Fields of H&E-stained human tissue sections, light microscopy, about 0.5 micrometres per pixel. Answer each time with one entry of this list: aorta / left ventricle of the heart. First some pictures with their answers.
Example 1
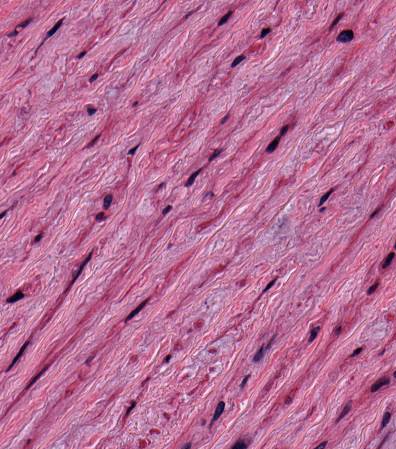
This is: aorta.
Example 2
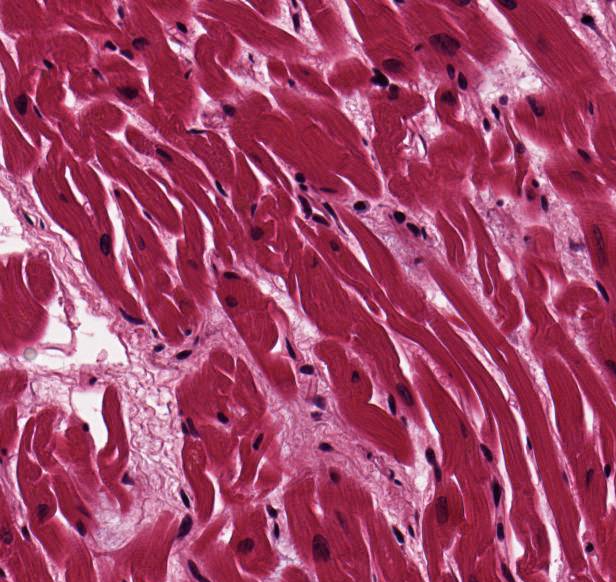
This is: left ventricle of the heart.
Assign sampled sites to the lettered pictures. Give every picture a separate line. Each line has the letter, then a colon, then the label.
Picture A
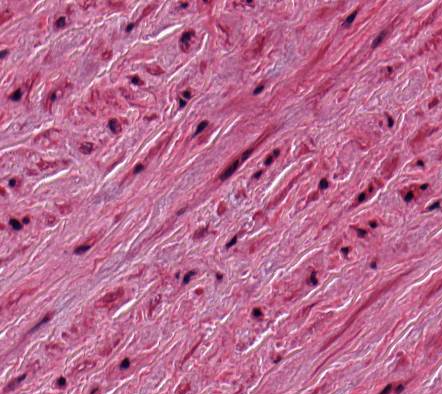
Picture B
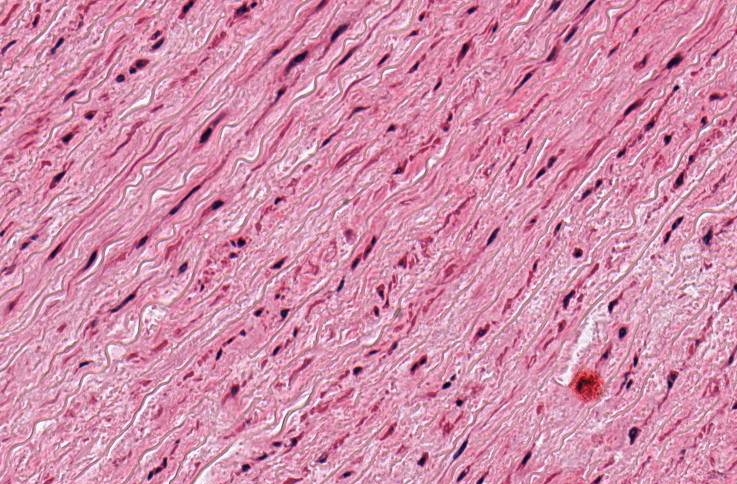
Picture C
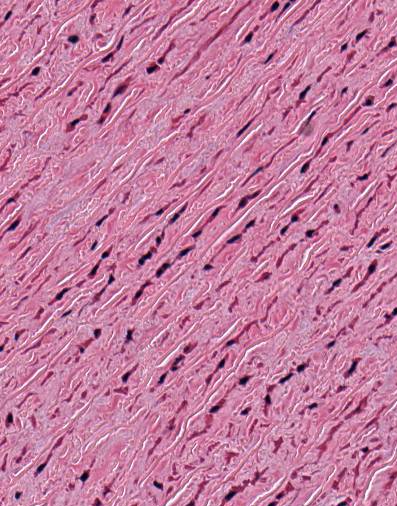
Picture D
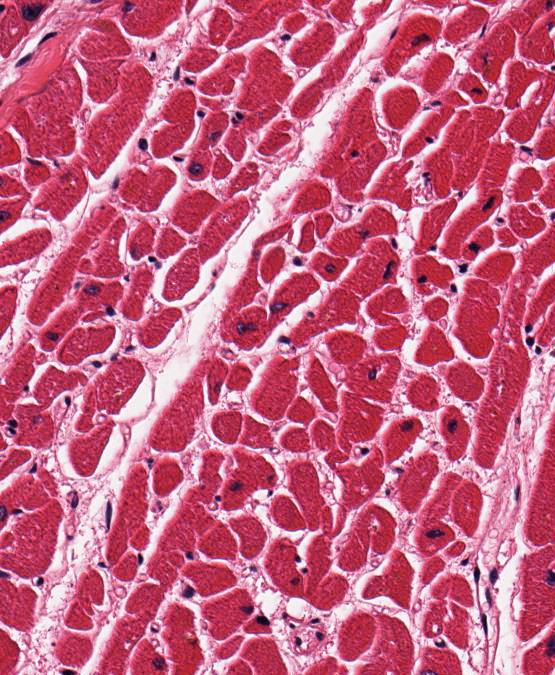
A: aorta.
B: aorta.
C: aorta.
D: left ventricle of the heart.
